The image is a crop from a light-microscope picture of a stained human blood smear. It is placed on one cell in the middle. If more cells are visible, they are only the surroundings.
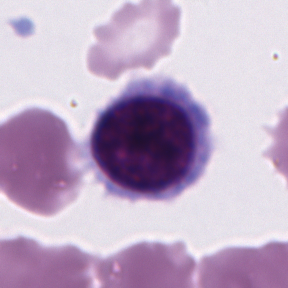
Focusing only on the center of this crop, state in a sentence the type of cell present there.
Whatever else lies nearby, the middle cell is a hairy cell.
